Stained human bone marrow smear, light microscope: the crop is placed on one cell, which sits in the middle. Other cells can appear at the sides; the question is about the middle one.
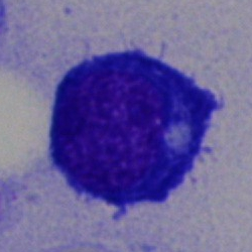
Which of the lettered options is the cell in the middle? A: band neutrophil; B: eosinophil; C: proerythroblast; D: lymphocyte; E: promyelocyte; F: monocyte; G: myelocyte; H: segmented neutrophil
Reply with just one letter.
C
